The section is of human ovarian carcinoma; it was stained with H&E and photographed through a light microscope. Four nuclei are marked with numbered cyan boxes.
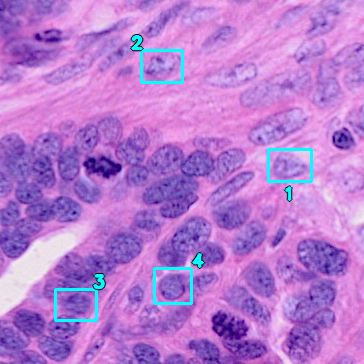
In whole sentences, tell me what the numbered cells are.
Cells 1 and 2 are fibroblasts. Cells 3 and 4 are carcinoma cells.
